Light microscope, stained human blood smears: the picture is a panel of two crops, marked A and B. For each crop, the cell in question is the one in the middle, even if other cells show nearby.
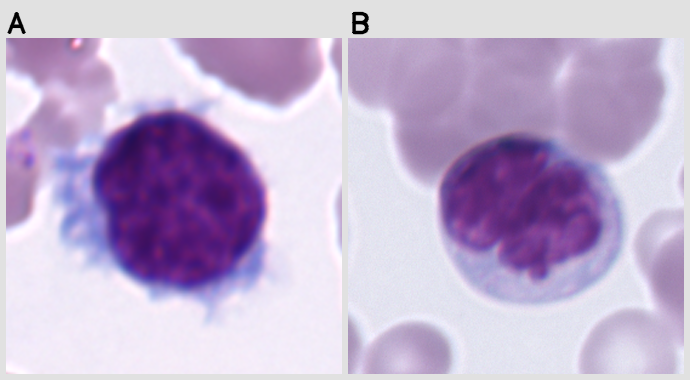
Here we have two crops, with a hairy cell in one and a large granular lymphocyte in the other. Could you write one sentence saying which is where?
Crop A presents a hairy cell, and crop B presents a large granular lymphocyte.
